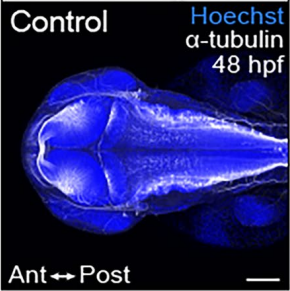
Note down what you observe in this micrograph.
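White axon tracts outline the paired anterior lobes and run along the length of the brain toward the posterior. Bright bundles cross the midline at several levels, and a bright longitudinal band extends caudally.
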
